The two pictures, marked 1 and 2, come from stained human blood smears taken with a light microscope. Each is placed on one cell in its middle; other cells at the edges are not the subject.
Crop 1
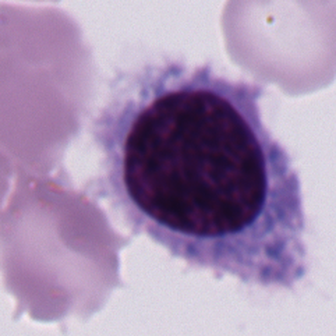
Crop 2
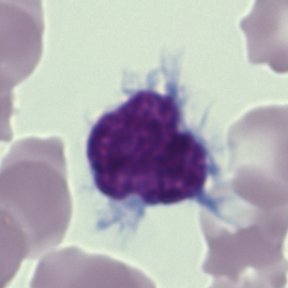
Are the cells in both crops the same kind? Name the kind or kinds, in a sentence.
Yes, the two cells in the two crops are hairy cells.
